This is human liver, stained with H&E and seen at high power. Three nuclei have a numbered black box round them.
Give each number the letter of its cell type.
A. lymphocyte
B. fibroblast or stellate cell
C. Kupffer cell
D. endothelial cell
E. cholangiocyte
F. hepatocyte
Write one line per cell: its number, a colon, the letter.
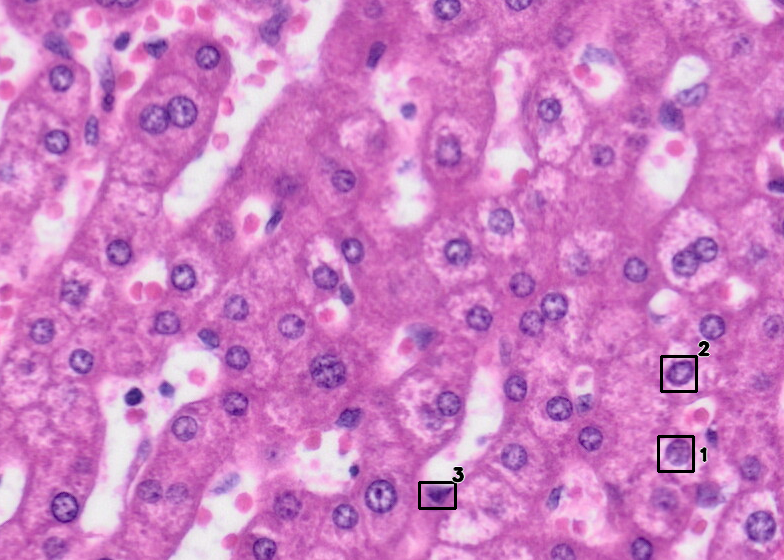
1: F
2: F
3: D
